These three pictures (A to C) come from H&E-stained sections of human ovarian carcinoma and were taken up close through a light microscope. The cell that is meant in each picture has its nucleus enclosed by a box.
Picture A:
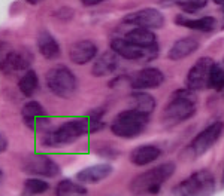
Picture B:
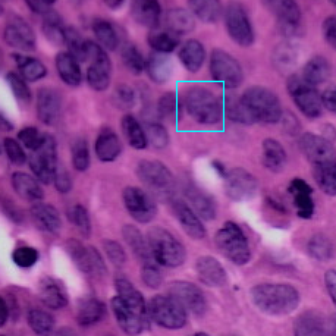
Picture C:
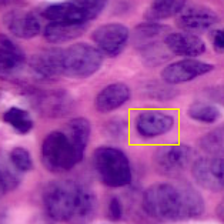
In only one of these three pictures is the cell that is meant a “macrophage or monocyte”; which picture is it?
C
